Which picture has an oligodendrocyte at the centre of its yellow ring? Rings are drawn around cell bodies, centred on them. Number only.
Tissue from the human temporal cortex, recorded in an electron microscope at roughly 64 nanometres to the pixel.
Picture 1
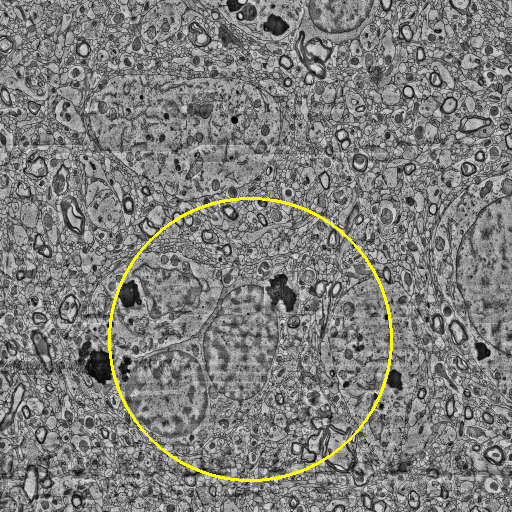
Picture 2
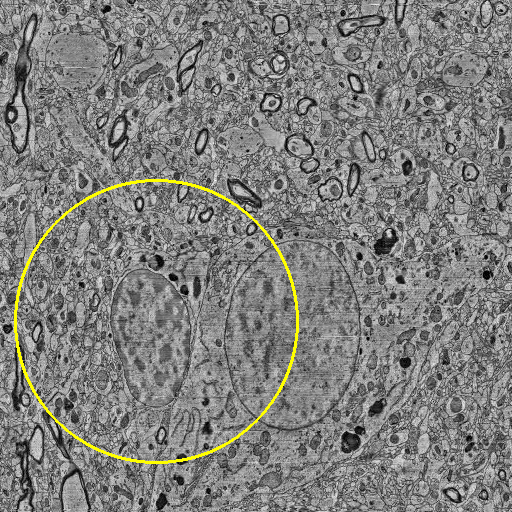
1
